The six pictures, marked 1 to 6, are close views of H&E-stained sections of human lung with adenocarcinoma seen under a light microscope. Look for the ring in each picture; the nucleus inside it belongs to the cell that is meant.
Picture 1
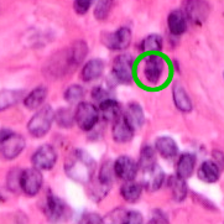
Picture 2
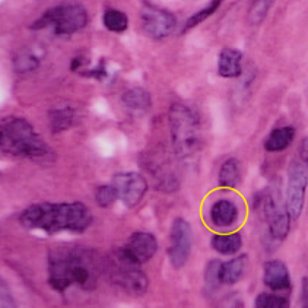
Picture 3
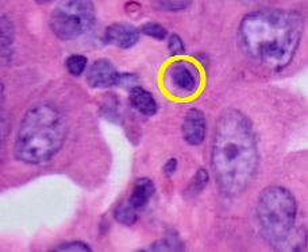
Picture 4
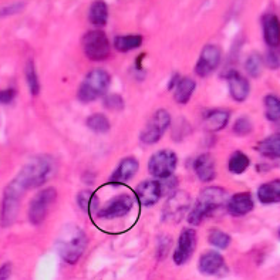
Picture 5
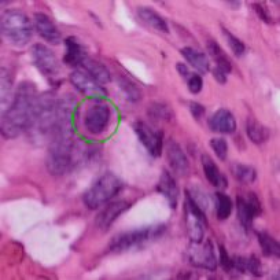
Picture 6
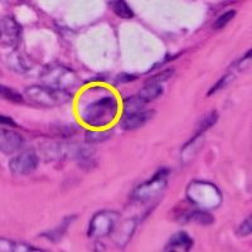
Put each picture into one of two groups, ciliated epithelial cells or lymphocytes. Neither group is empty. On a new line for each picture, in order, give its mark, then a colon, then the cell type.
1: lymphocyte
2: lymphocyte
3: lymphocyte
4: lymphocyte
5: ciliated epithelial cell
6: ciliated epithelial cell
